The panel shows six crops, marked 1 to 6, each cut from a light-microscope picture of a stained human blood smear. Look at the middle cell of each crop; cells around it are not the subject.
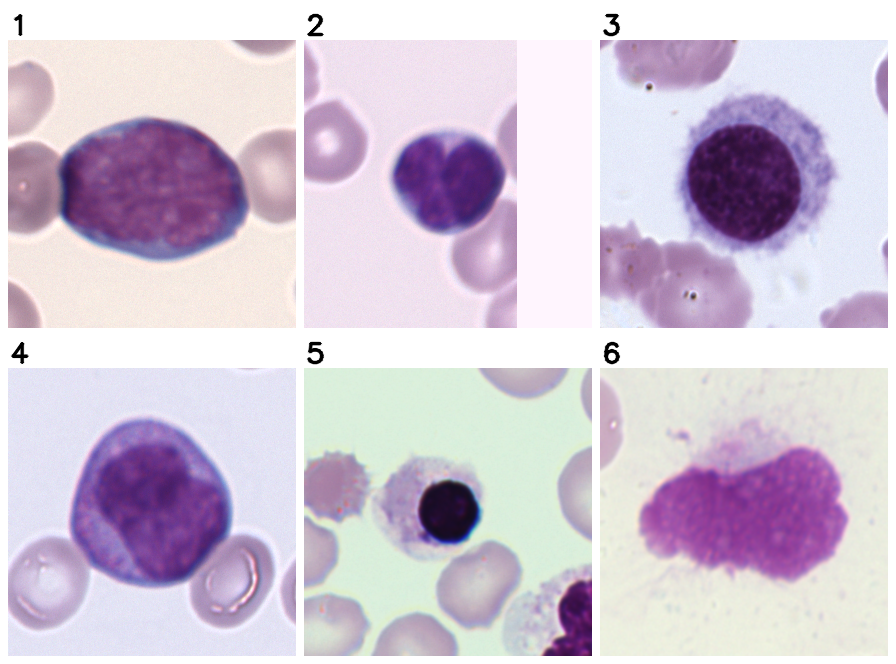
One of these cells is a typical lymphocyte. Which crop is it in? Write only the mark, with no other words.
2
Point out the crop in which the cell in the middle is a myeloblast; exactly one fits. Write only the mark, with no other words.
1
